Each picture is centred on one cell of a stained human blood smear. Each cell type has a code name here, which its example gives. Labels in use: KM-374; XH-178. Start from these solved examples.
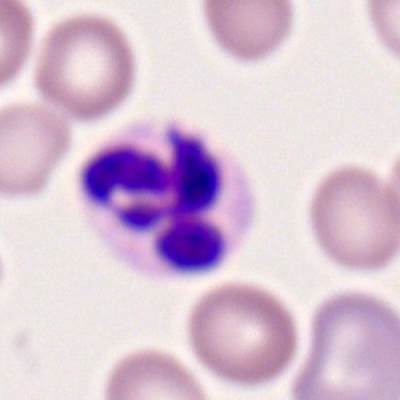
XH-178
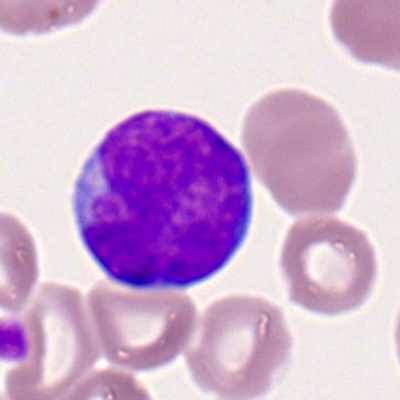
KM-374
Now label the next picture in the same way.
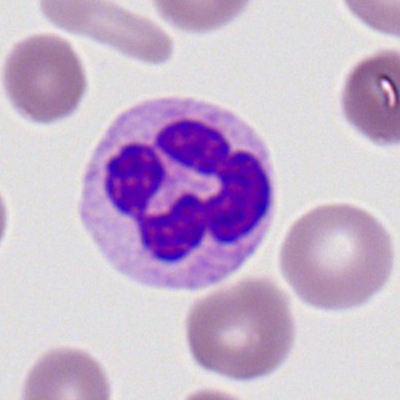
XH-178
